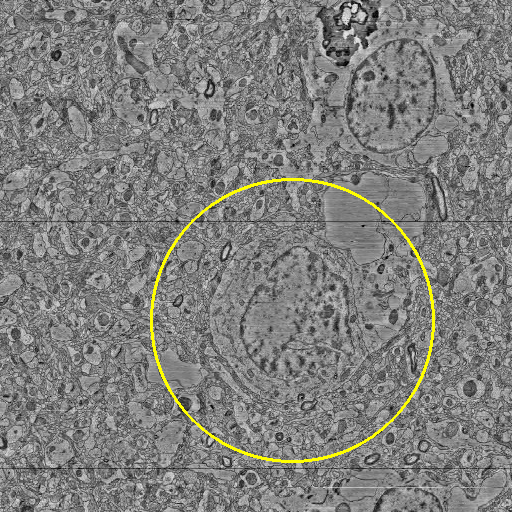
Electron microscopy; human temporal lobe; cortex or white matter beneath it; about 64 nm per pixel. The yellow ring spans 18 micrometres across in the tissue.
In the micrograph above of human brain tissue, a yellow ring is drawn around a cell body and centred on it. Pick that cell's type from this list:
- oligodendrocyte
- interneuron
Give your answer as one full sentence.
Going by the list, an interneuron is the cell on which the yellow ring is centred.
